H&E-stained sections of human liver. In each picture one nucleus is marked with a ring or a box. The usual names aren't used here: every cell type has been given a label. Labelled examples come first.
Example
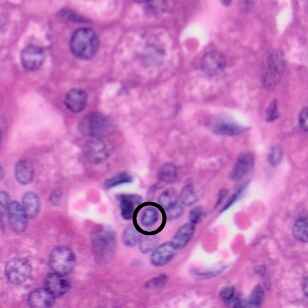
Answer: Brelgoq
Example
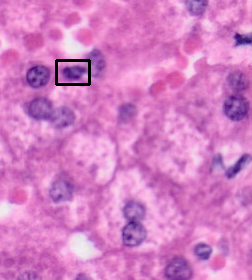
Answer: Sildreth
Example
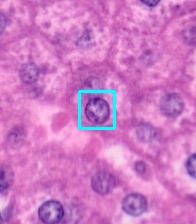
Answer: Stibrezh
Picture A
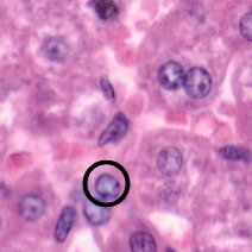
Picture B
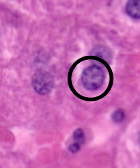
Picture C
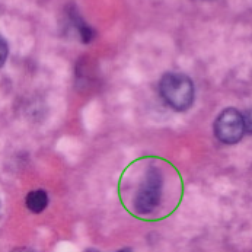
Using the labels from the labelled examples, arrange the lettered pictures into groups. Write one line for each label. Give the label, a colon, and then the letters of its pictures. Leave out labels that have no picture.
Brelgoq: A
Sildreth: C
Stibrezh: B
